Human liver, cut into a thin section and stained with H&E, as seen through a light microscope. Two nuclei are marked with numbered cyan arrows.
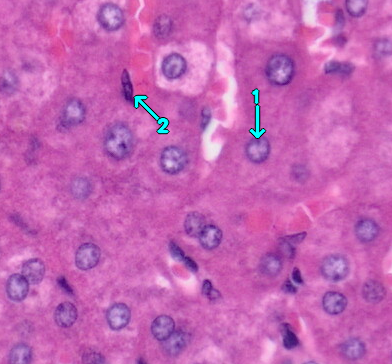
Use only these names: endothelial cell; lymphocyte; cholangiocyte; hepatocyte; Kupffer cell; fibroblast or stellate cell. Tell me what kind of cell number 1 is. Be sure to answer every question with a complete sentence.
Denoted by the label 1 in the section is a hepatocyte.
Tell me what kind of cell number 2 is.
The mark numbered 2 indicates the nucleus of an endothelial cell.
